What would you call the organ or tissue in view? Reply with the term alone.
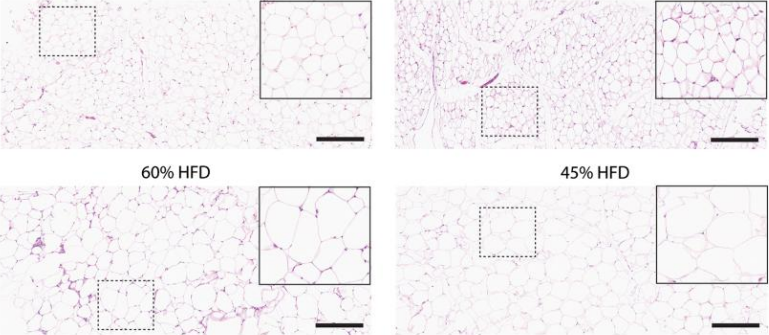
White adipose tissue.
